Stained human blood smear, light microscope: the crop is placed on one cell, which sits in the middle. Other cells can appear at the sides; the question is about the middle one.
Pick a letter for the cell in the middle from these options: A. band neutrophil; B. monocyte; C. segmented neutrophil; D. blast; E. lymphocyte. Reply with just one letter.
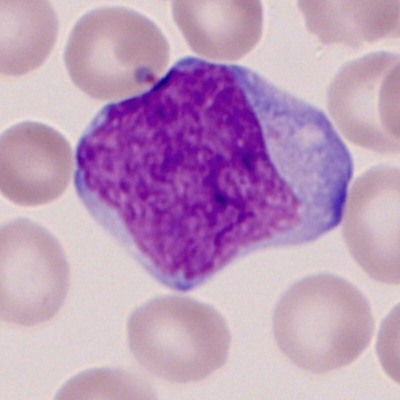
D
